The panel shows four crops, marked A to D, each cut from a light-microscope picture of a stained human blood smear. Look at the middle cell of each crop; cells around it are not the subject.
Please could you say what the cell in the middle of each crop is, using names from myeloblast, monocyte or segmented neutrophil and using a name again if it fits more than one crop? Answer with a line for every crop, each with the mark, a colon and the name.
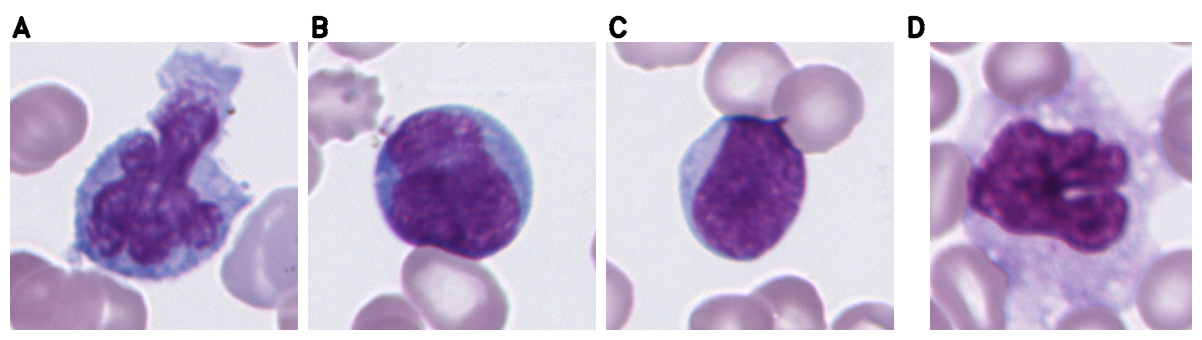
A: monocyte
B: myeloblast
C: myeloblast
D: monocyte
